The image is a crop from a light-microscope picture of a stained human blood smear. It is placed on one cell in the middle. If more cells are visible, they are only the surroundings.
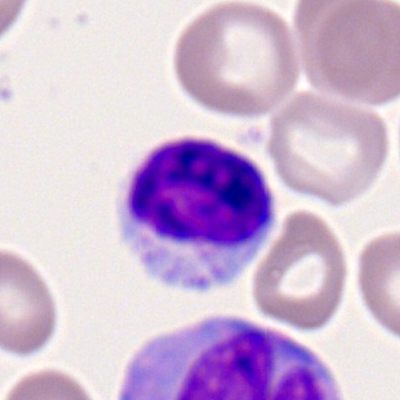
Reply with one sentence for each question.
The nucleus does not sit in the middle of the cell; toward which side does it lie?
It is shifted toward the top of the cell.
